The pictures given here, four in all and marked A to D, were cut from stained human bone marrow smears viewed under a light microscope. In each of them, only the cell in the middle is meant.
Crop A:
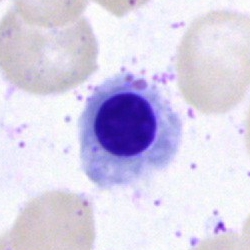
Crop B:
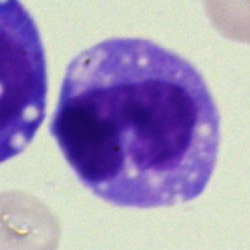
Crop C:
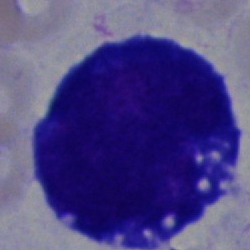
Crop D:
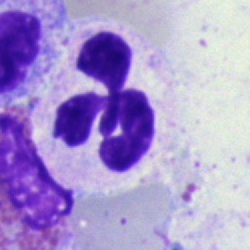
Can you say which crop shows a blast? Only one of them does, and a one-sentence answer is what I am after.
The one that shows a blast is crop C.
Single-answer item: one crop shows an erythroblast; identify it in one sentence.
Crop A represents an erythroblast, while the other crops do not.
